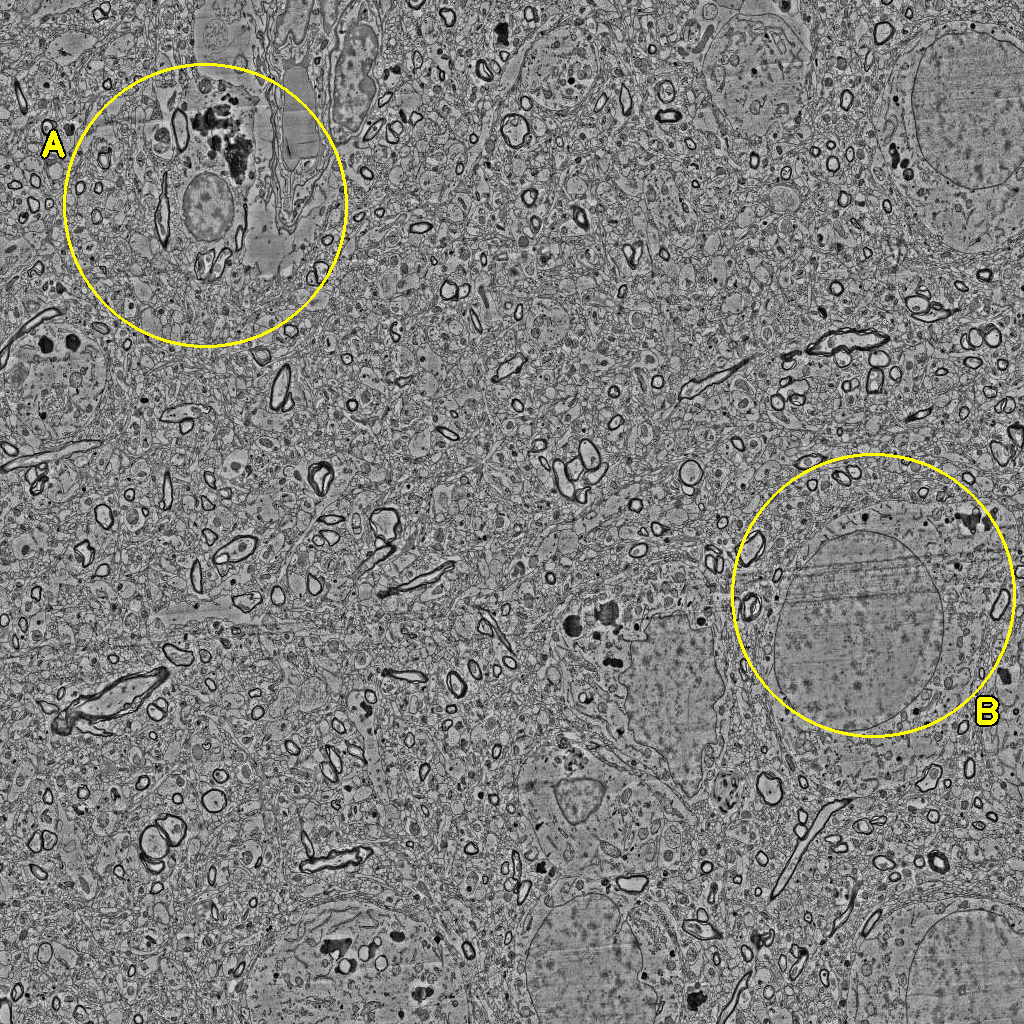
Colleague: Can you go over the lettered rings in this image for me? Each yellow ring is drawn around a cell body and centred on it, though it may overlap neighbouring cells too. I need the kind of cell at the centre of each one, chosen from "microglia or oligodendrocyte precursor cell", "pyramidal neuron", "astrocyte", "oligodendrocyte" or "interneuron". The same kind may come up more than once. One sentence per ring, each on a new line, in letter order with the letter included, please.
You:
Ring A marks the cell body of an oligodendrocyte.
Ring B marks the cell body of a pyramidal neuron.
